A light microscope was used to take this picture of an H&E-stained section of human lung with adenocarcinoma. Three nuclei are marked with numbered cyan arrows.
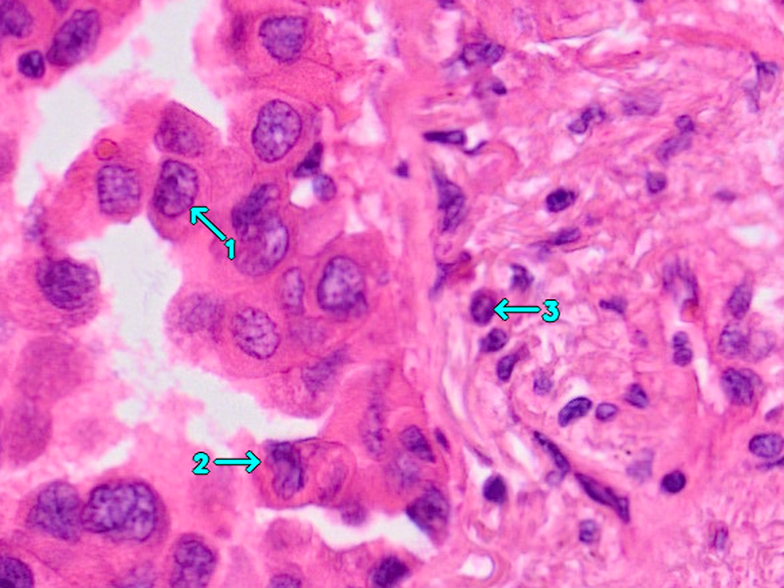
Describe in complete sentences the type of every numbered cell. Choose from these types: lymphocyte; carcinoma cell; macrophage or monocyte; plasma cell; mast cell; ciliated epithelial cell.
Cells 1 and 2 are carcinoma cells. Cell 3 is a plasma cell.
